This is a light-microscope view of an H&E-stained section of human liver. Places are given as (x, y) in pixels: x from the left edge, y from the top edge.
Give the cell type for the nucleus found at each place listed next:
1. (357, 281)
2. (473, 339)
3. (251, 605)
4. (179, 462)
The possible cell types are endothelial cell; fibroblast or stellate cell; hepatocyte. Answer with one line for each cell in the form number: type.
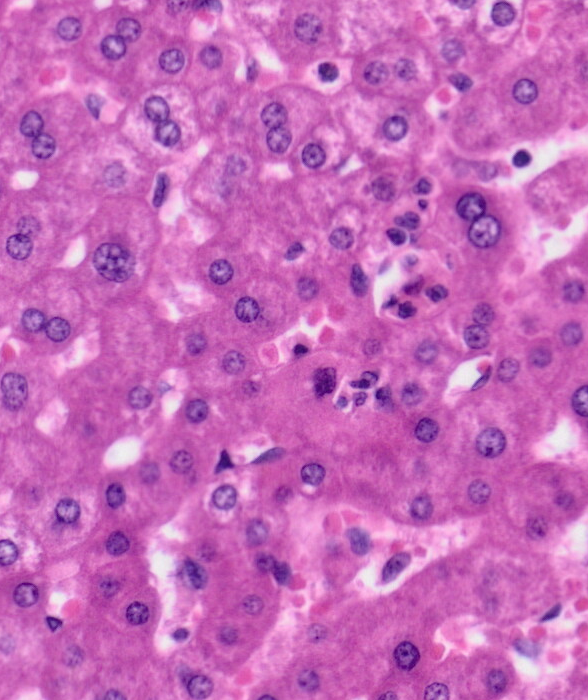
1: fibroblast or stellate cell
2: hepatocyte
3: hepatocyte
4: hepatocyte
